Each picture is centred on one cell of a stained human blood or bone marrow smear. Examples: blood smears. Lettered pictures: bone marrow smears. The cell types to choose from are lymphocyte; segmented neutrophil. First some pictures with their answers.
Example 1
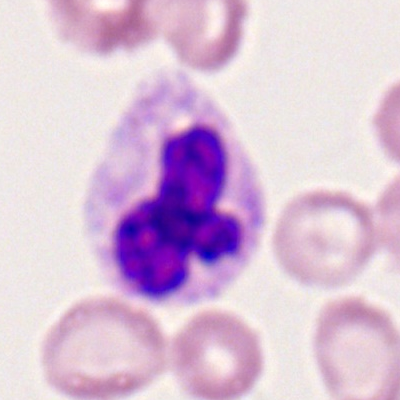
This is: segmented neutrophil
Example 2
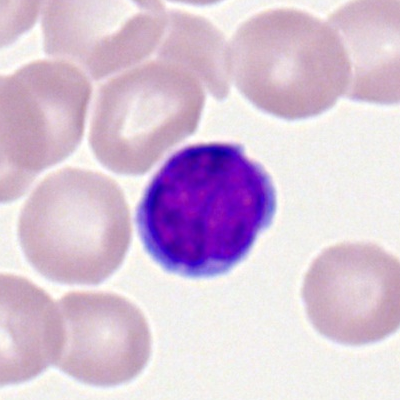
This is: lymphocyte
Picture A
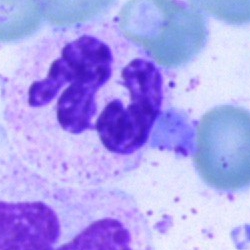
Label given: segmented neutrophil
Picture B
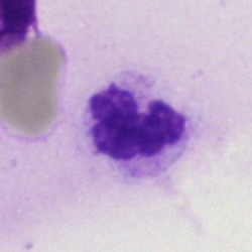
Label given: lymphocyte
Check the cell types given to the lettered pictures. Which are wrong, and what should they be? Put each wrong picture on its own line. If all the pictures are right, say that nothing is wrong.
B is labelled lymphocyte; correct label: segmented neutrophil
